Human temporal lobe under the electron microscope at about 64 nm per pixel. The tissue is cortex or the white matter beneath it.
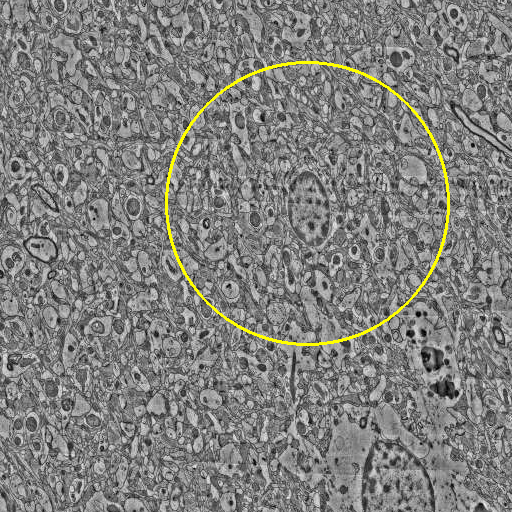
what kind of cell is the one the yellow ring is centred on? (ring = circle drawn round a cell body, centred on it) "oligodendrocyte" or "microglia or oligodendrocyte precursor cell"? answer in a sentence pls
The ring is drawn around a microglial cell or oligodendrocyte precursor cell.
